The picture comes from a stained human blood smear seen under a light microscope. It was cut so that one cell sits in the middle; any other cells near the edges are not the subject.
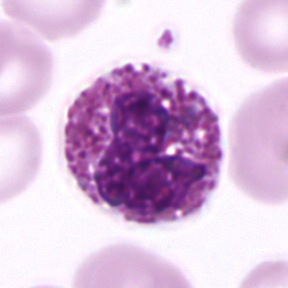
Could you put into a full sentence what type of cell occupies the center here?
At the crop's centre, the cell is an eosinophil.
